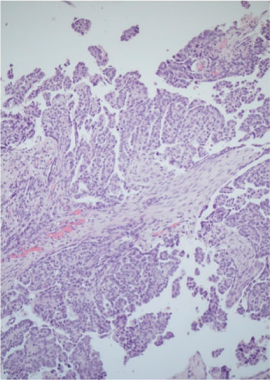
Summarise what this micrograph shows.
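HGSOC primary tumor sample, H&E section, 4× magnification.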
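This low-power field shows purple tumour epithelium arranged as branching fronds that project into clear, empty spaces. The fronds have irregular, finger-like outlines and are lined by crowded tumour cells with dark nuclei. A diagonal band of pink fibrous stroma with a few red blood vessels crosses the middle of the field. Detached fragments of tumour float in the open spaces at the top. The predominance of these frond-like projections is papillary architecture.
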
